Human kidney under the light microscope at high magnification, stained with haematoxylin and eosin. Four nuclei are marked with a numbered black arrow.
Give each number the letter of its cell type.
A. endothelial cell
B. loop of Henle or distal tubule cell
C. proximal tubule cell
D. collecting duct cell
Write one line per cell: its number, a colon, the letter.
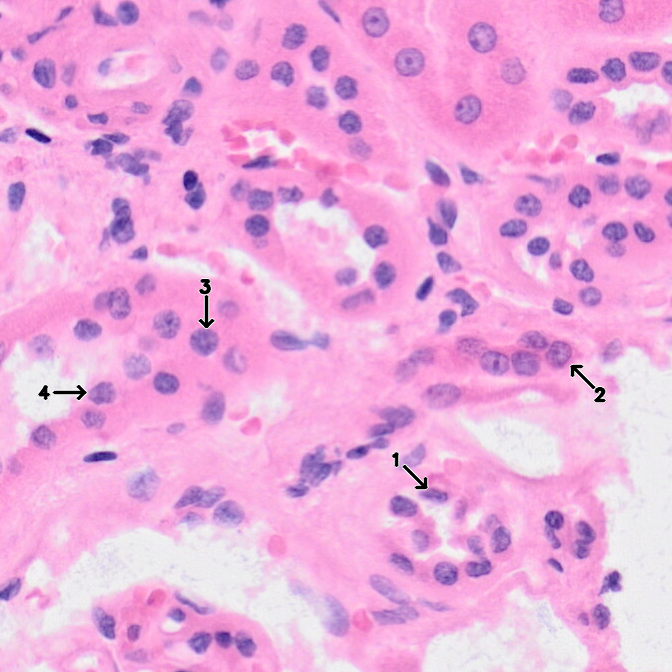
1: B
2: C
3: B
4: B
